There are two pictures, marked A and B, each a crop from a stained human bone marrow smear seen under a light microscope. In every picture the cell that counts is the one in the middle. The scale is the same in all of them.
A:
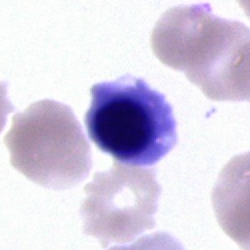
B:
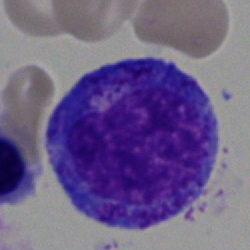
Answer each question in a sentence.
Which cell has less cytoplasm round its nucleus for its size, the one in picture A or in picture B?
In picture B the nucleus takes up the larger part of its cell.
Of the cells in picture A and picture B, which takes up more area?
Larger is the cell in picture B, at roughly 4 times the area of the other.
